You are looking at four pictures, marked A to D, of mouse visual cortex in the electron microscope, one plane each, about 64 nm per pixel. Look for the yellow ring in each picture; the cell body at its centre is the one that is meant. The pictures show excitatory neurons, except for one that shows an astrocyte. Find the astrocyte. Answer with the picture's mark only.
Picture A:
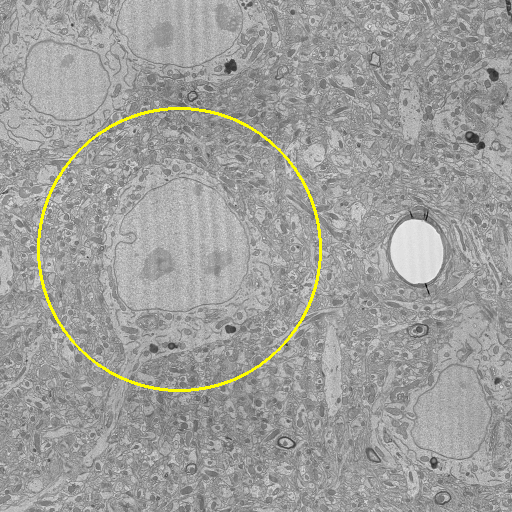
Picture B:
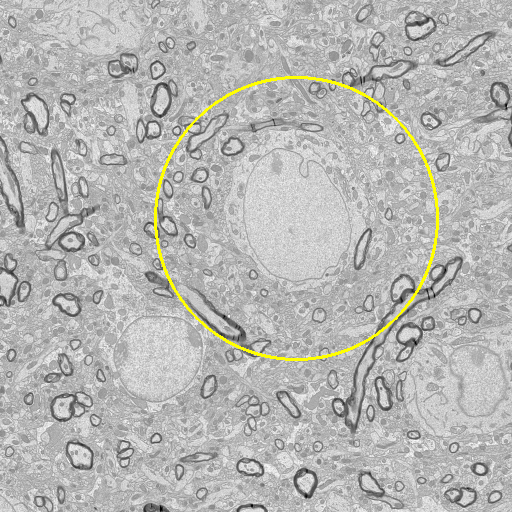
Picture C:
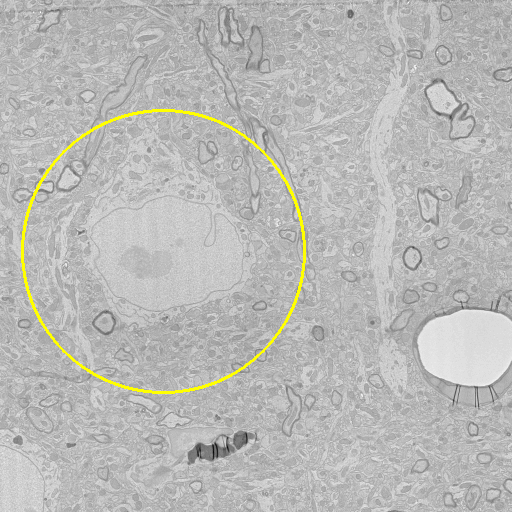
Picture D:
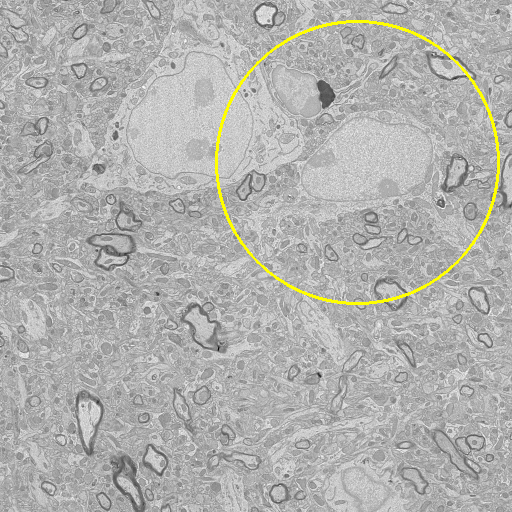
D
